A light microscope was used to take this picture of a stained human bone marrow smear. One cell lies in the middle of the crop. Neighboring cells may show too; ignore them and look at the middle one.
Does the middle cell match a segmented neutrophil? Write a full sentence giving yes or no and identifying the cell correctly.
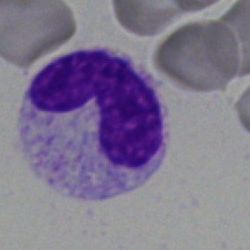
No, a band neutrophil, not a segmented neutrophil, is what sits in the centre of the crop.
